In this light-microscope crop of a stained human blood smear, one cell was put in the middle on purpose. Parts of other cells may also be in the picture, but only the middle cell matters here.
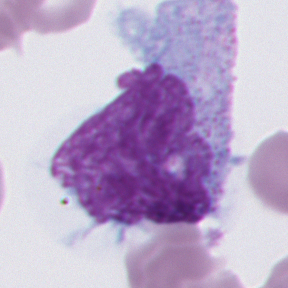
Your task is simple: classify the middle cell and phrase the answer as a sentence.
The middle of this crop holds a monocyte.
